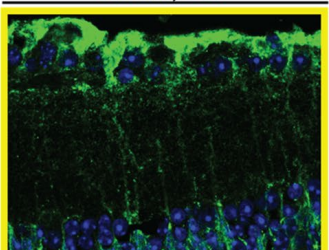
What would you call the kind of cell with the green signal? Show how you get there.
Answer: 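Muller cells. Green fills broad end-feet along the inner surface at the top. Thin green processes run radially down through the plexiform layer. Green processes wrap around the nuclei in the lower nuclear band.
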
